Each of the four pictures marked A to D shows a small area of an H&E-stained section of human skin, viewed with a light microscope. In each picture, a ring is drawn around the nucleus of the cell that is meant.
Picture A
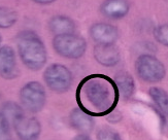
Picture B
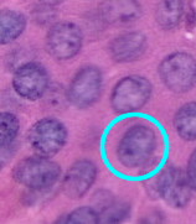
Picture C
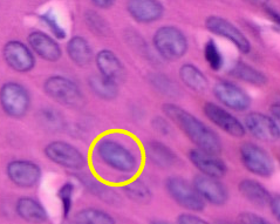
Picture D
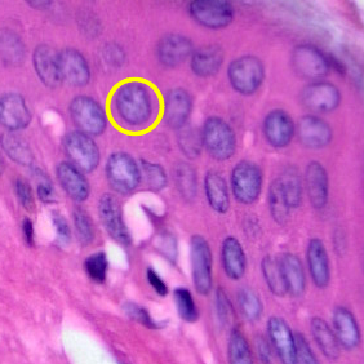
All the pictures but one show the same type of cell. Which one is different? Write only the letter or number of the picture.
A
